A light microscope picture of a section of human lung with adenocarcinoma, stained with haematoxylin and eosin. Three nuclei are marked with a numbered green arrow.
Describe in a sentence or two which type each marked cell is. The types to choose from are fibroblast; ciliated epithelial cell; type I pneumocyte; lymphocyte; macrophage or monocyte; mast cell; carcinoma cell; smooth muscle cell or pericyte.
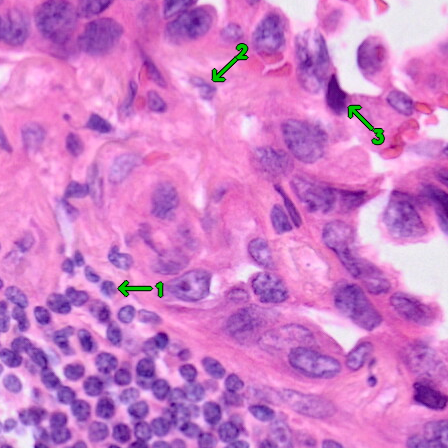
Cell 1 is a lymphocyte, cell 2 is a fibroblast and cell 3 is a carcinoma cell.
